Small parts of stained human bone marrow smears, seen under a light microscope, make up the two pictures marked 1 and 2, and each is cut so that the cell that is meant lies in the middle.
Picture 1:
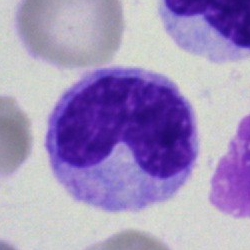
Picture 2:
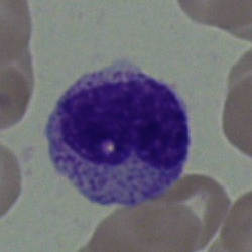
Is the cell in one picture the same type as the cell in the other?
yes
